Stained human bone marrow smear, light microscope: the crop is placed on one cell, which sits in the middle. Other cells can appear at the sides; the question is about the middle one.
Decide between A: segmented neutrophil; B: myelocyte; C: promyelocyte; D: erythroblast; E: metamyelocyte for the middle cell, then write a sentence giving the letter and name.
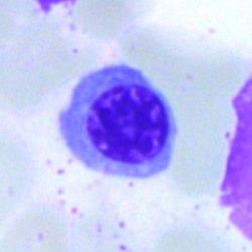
The expected answer is option D, the central cell being an erythroblast.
